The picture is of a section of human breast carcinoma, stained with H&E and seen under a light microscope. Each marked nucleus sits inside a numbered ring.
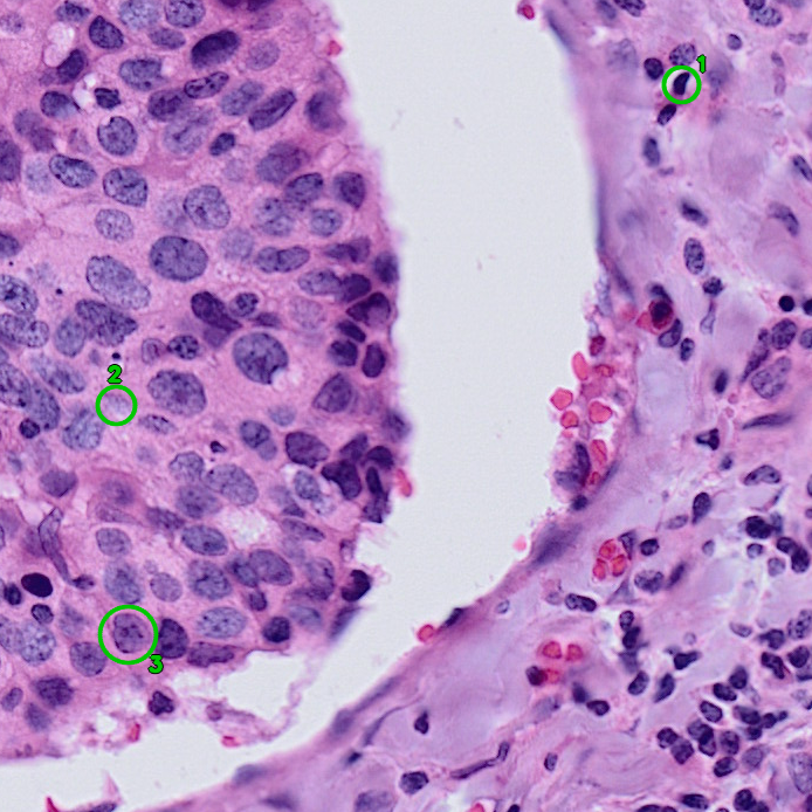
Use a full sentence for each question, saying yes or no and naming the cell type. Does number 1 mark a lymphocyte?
Yes, it is a lymphocyte that carries the number 1.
